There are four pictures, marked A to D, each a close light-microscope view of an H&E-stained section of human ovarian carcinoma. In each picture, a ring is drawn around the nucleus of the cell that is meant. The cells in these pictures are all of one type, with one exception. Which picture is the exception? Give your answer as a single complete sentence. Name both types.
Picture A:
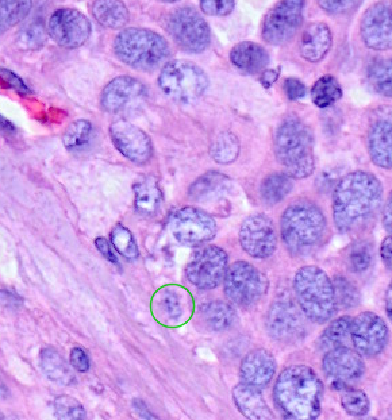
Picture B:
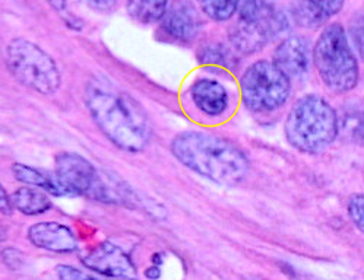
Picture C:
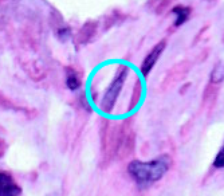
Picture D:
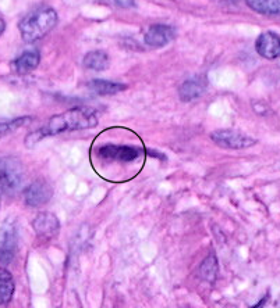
The others show “macrophages or monocytes”, but picture C shows a fibroblast.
